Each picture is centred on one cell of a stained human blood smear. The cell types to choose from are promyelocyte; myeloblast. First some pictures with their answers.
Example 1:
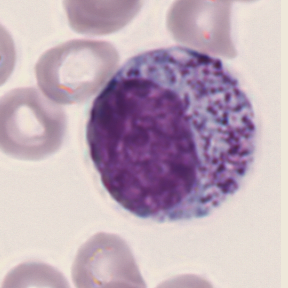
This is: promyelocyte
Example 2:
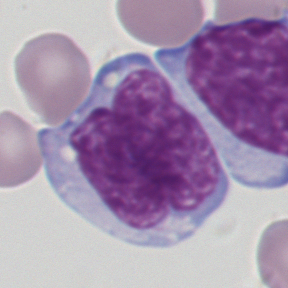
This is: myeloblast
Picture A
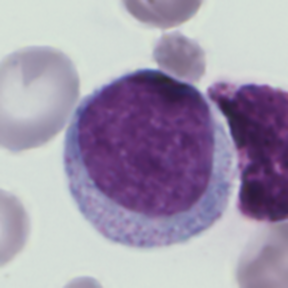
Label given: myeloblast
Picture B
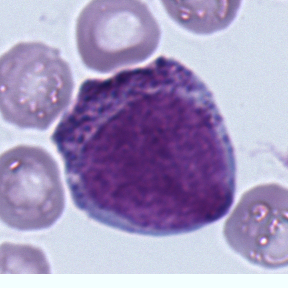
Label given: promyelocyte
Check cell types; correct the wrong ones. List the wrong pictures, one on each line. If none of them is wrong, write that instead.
A: not myeloblast but promyelocyte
